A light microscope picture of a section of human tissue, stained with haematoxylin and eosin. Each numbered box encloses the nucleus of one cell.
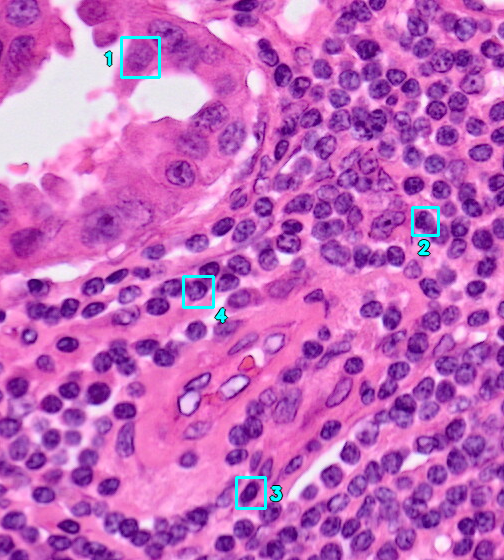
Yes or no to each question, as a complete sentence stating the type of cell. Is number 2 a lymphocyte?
Yes, the cell that goes by number 2 is a lymphocyte.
